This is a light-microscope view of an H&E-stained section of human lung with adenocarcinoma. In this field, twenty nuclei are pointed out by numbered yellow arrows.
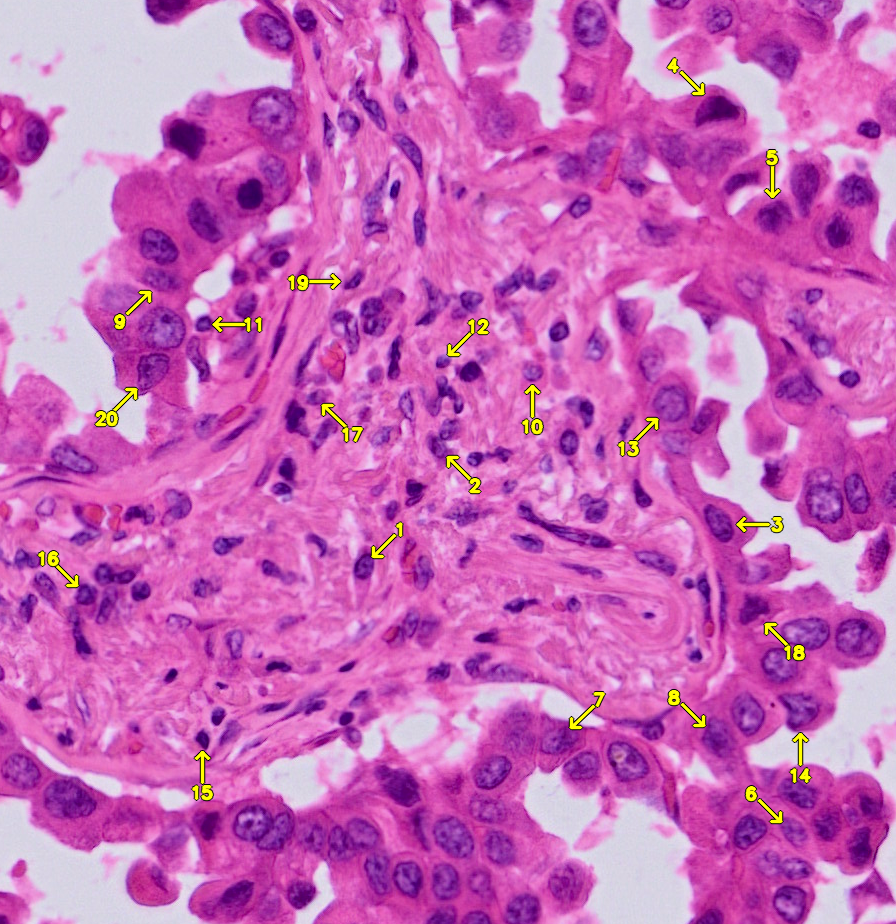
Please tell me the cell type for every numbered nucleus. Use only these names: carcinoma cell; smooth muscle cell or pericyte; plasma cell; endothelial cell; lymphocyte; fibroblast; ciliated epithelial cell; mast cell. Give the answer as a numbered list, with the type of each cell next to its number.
1. plasma cell
2. plasma cell
3. carcinoma cell
4. carcinoma cell
5. carcinoma cell
6. carcinoma cell
7. carcinoma cell
8. carcinoma cell
9. carcinoma cell
10. mast cell
11. lymphocyte
12. lymphocyte
13. carcinoma cell
14. carcinoma cell
15. lymphocyte
16. plasma cell
17. plasma cell
18. carcinoma cell
19. plasma cell
20. carcinoma cell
